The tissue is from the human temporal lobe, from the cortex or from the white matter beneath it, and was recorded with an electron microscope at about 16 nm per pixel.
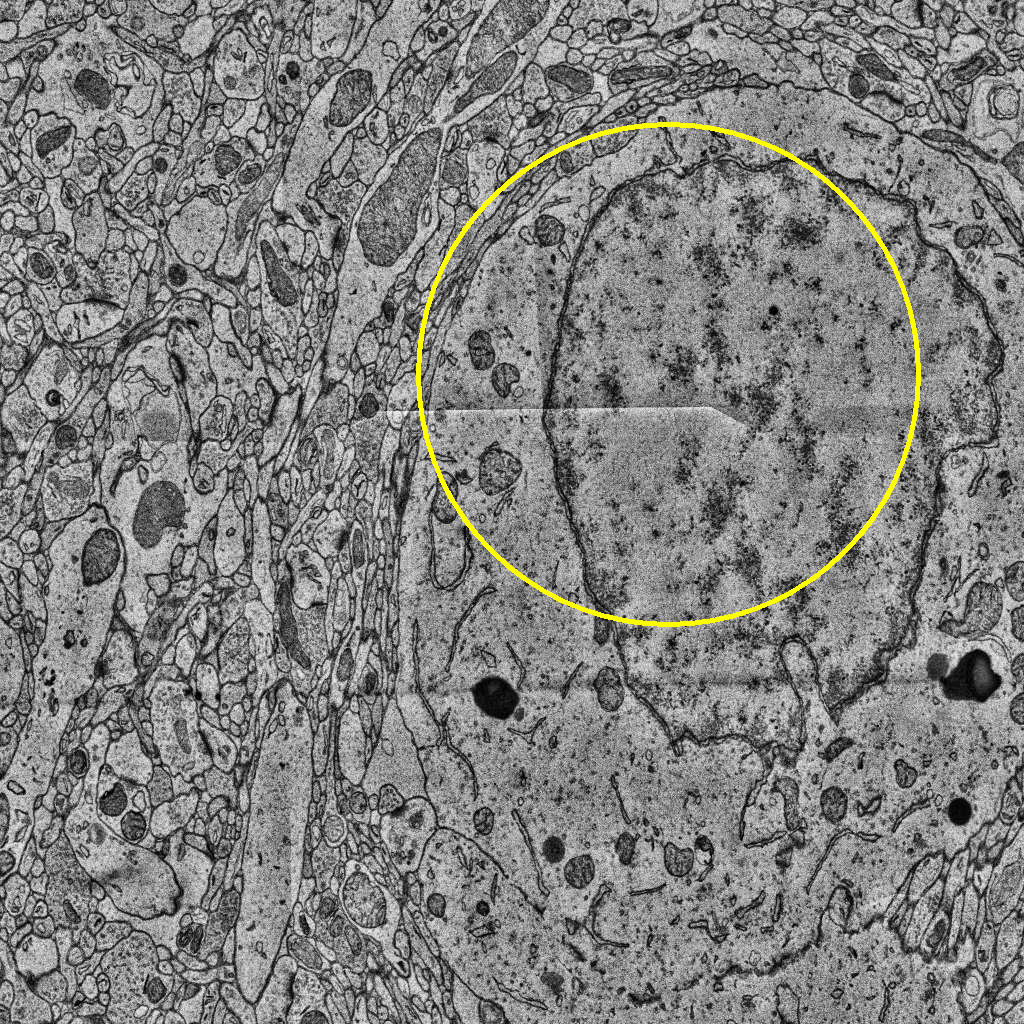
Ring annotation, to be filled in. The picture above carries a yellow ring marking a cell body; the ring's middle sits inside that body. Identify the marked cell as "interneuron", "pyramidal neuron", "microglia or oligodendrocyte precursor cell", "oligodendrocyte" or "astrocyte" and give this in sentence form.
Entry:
The cell at the middle of the ring is a pyramidal neuron.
